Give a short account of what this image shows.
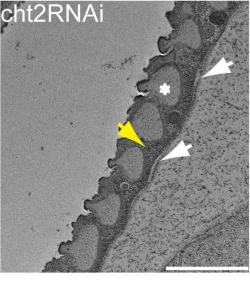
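This transmission electron micrograph shows the cuticle lining the airway of the tracheal tube, with the epithelial cell layer beneath it. The cuticle forms a row of regularly spaced, rounded, swollen bulges, the taenidial folds, which project from a thin dark surface layer. The material around the folds appears grainy rather than finely filamentous. In places, pale gaps separate the cuticle from the underlying cell layer, instead of the cuticle resting directly on the cells.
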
